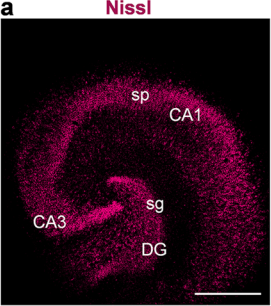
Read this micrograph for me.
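A transverse slice of hippocampus shows its neuronal subfields as dense bands of magenta-stained cell bodies. A broad curved band of pyramidal neurons sweeps around the slice, and a tighter, hooked band of small densely packed granule cells lies within its concavity, with scattered stained cells in the areas between.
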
